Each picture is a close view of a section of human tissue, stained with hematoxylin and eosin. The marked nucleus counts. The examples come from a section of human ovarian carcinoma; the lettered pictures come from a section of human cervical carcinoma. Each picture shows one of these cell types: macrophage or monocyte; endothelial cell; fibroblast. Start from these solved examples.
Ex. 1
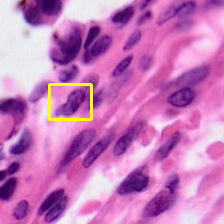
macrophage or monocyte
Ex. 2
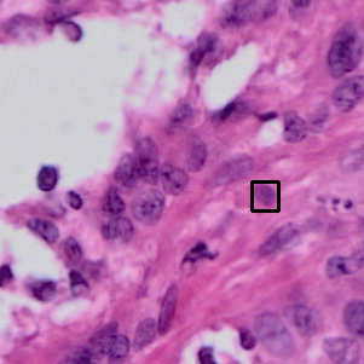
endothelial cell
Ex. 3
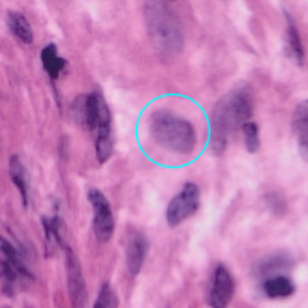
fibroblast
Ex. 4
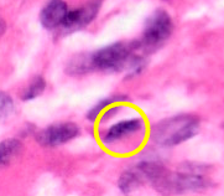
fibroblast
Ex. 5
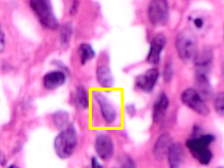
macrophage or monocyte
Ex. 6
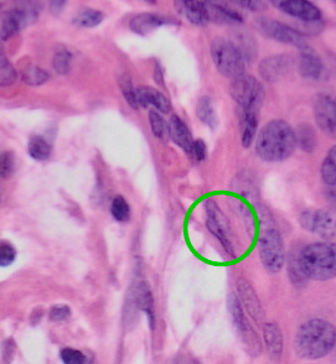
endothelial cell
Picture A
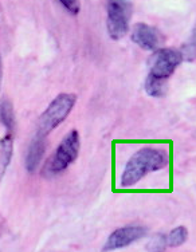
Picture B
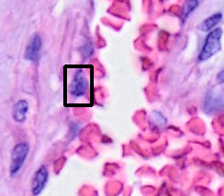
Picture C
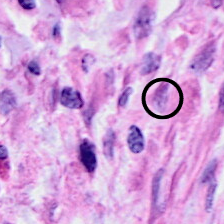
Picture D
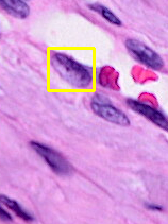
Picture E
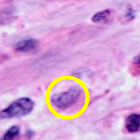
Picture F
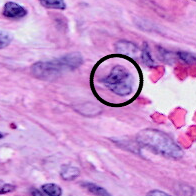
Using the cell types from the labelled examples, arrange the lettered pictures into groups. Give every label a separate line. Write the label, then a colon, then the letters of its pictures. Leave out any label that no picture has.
macrophage or monocyte: E
endothelial cell: B, D, F
fibroblast: A, C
